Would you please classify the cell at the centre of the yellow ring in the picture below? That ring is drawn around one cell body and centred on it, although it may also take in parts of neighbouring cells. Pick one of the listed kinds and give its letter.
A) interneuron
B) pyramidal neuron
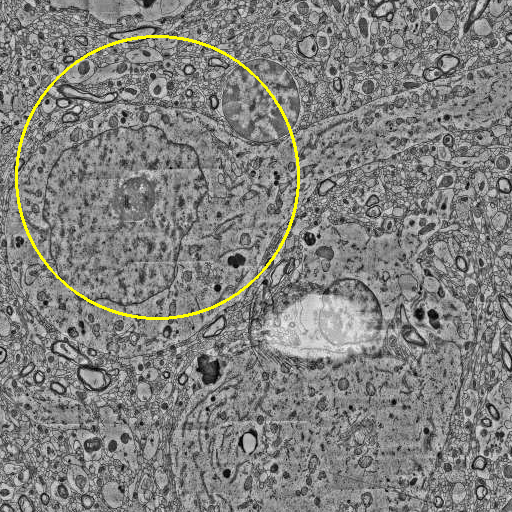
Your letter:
B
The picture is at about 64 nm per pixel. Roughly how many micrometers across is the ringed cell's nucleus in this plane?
In this plane, about 12 micrometres in length and 10 in width.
